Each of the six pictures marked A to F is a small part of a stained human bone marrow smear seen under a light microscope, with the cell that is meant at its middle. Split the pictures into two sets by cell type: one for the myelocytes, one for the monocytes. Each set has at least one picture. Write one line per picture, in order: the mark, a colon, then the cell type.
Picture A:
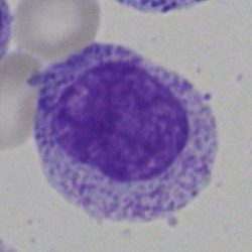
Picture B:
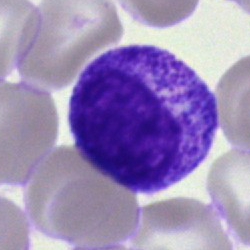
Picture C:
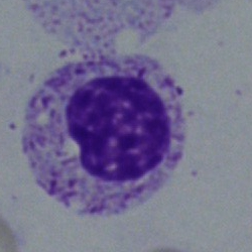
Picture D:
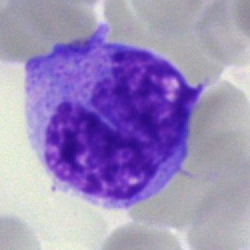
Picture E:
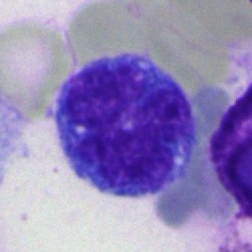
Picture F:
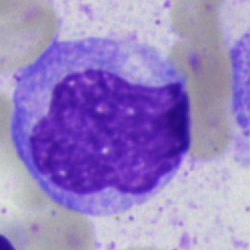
A: myelocyte
B: myelocyte
C: myelocyte
D: monocyte
E: monocyte
F: monocyte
